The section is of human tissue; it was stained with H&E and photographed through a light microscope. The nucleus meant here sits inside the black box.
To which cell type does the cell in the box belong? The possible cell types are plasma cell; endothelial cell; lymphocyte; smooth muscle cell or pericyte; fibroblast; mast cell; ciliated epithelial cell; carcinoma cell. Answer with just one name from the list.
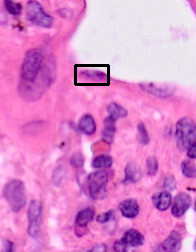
endothelial cell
